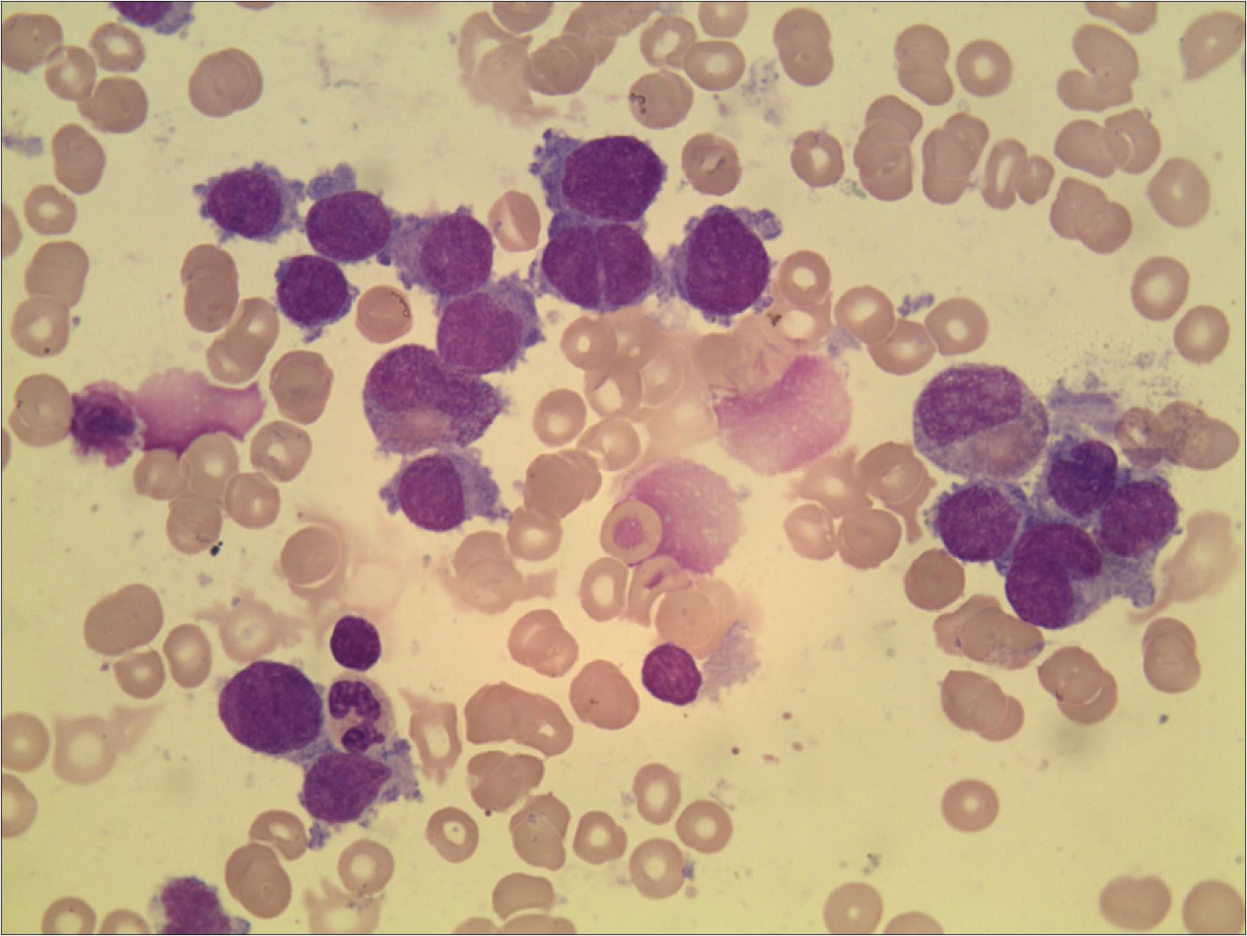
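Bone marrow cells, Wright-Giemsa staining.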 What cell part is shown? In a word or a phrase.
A: Cloud or flocculent process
